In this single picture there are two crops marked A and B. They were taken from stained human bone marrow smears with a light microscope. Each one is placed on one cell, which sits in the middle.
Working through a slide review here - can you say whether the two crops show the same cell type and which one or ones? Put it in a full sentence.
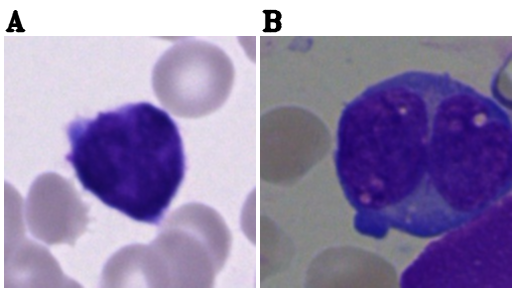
No, in fact crop A shows a lymphocyte, and crop B shows a blast.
